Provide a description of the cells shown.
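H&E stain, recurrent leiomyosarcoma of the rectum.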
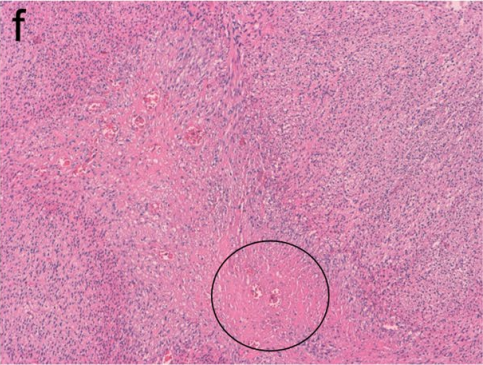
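This is a densely cellular tumor made of spindle-shaped cells with elongated blue nuclei, packed closely in pink cytoplasm and running in streaming bundles. Toward the lower middle lies a paler pink zone with few nuclei, an area of necrosis within the tumor.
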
